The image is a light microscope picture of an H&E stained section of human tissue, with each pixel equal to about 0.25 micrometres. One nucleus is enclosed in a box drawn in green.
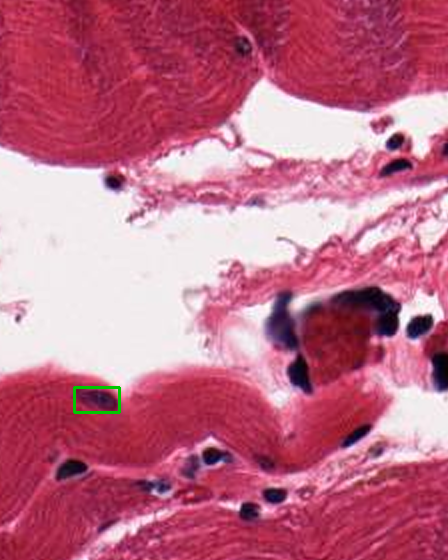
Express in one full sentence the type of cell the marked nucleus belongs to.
Here the marked nucleus is part of a skeletal muscle fibre.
